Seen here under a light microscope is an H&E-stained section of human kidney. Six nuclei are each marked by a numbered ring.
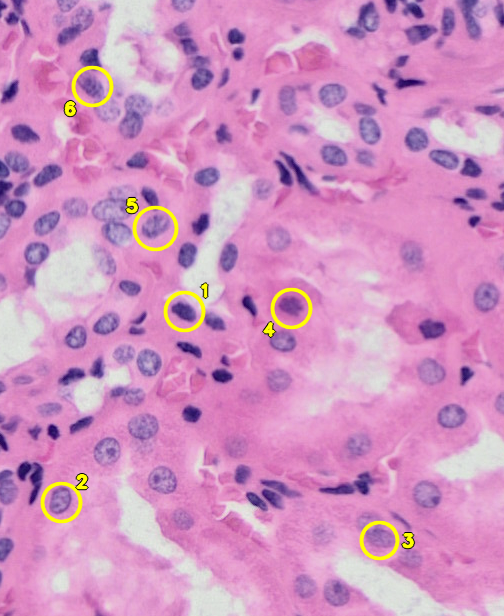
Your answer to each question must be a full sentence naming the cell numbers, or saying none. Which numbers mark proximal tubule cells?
The cells given the numbers 2, 3 and 4 are proximal tubule cells.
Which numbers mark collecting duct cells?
Cells 5 and 6 share one type; they are collecting duct cells.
